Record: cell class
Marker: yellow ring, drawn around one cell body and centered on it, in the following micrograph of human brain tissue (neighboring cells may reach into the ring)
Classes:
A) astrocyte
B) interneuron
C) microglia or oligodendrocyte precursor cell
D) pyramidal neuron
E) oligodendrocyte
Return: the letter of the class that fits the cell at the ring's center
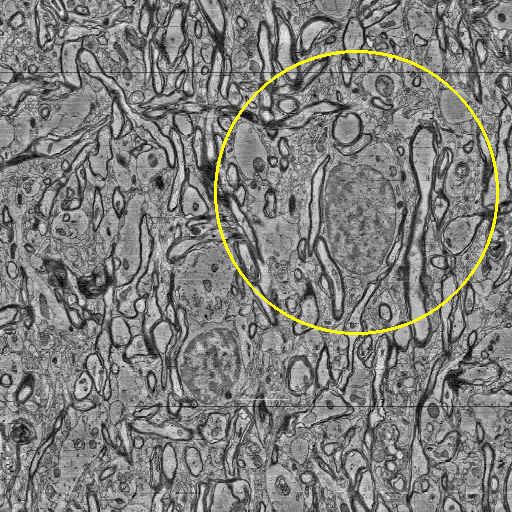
E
